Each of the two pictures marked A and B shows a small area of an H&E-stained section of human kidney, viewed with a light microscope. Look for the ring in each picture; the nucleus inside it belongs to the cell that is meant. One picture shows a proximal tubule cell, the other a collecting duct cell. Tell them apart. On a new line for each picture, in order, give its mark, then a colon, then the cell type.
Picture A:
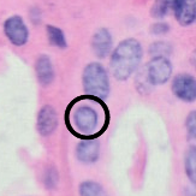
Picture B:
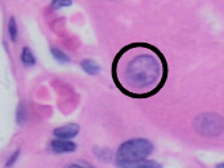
A: collecting duct cell
B: proximal tubule cell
